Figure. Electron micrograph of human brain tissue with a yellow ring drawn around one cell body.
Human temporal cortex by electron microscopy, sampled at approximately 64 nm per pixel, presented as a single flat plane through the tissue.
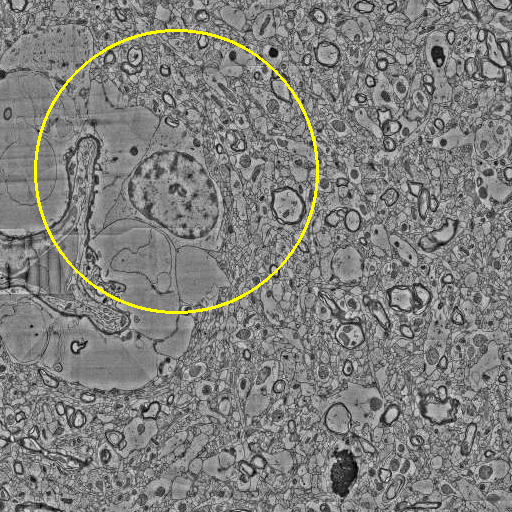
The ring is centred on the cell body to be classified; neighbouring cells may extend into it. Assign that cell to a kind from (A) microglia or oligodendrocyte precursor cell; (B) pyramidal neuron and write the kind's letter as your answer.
A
